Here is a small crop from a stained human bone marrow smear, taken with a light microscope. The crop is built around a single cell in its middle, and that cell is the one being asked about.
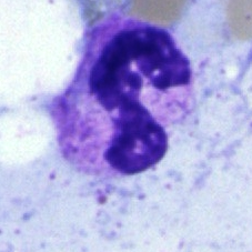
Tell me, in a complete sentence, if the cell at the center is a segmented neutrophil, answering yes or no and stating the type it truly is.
Yes, this crop has a segmented neutrophil at its centre.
